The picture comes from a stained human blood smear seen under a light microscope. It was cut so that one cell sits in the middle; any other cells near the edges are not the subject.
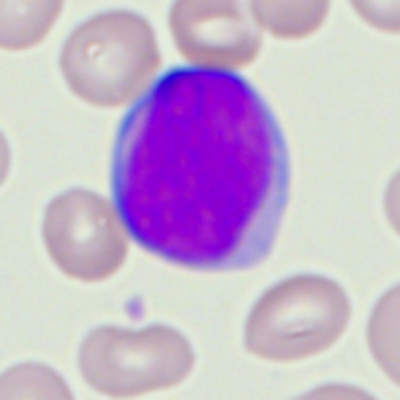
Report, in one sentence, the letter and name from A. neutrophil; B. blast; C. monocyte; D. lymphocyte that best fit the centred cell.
The centrally positioned cell is a blast, consistent with option B, which is correct.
